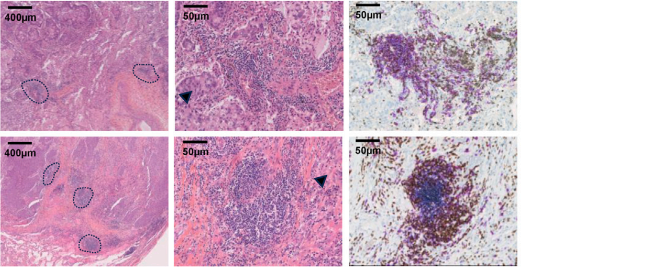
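At low power, pink fibrous stroma and tumor tissue are interrupted by several rounded, dark purple foci, each circled by a dashed line. At higher power, each focus is a dense cluster of small lymphocytes with round, dark nuclei and scant cytoplasm. Nearby tissue, marked by arrowheads, holds tumor cells that lie outside the lymphoid clusters.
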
